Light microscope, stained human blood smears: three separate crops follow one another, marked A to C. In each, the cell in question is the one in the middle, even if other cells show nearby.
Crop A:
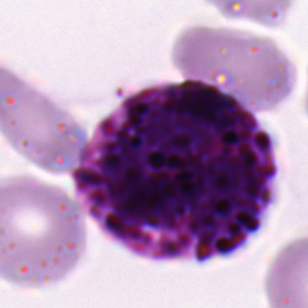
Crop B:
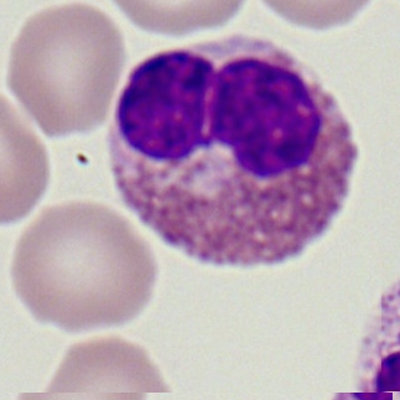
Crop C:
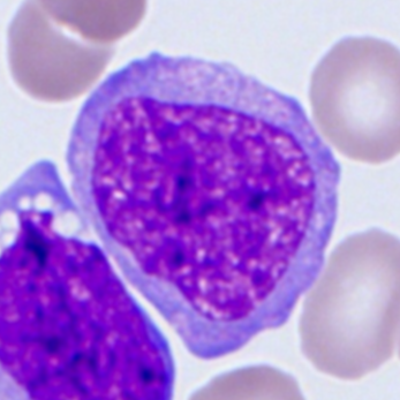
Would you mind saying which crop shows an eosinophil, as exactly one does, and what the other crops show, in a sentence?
Inside crop B there is an eosinophil, while crop A is a basophil and crop C is a monocyte.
